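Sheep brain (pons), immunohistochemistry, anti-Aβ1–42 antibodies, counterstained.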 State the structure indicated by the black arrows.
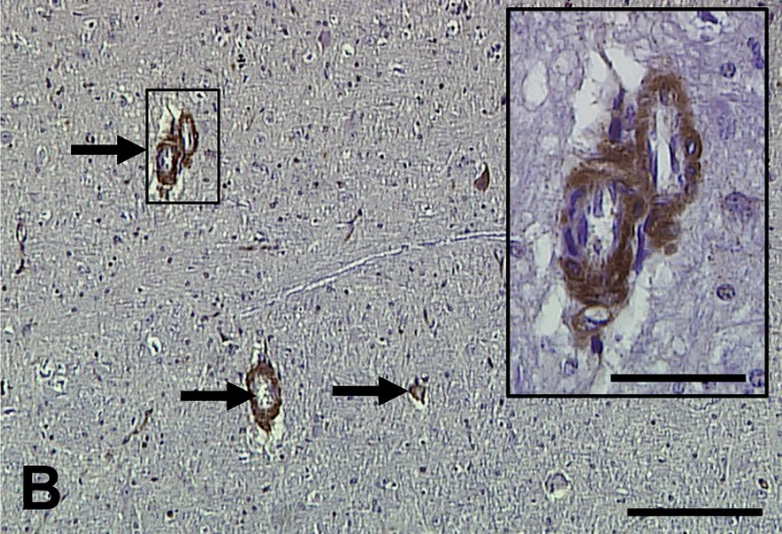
Small vessels.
